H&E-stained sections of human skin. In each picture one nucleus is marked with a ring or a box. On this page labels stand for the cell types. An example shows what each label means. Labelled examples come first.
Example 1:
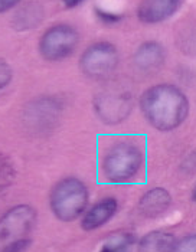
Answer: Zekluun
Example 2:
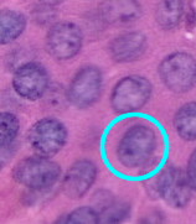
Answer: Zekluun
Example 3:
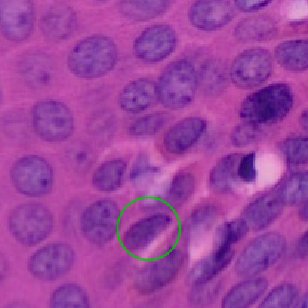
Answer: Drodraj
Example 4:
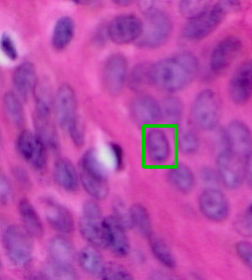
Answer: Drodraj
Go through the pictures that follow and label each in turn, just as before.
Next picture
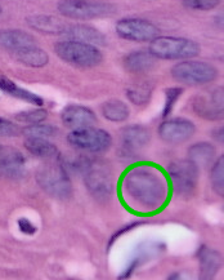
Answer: Drodraj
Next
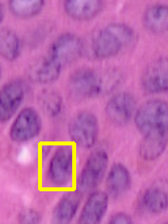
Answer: Drodraj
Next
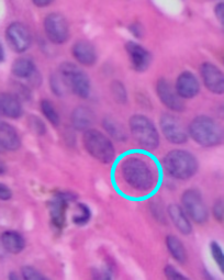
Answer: Drodraj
